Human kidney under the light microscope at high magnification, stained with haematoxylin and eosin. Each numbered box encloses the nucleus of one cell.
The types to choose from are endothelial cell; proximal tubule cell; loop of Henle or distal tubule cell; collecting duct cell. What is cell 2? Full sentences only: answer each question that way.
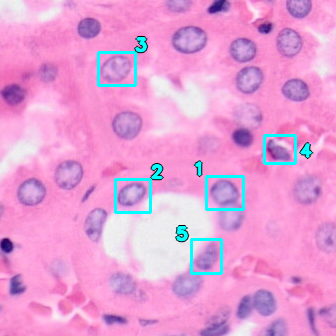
Cell 2 should be recorded as a loop of Henle or distal tubule cell.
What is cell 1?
The marked cell bearing number 1 is a loop of Henle or distal tubule cell.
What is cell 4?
In this section, the cell tagged 4 is an endothelial cell.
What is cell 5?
The numbered cell 5 in this field is a loop of Henle or distal tubule cell.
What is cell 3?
The nucleus labelled 3 belongs to a proximal tubule cell.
